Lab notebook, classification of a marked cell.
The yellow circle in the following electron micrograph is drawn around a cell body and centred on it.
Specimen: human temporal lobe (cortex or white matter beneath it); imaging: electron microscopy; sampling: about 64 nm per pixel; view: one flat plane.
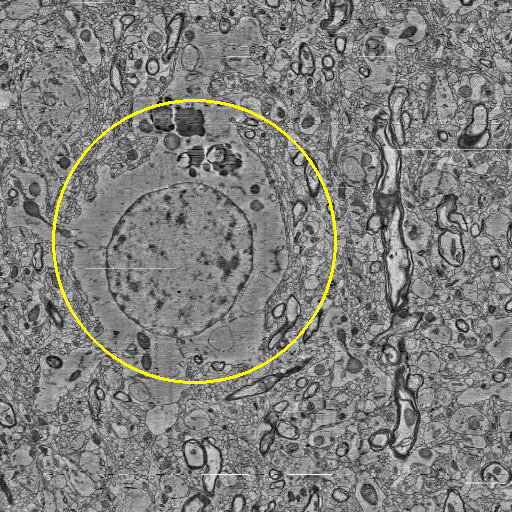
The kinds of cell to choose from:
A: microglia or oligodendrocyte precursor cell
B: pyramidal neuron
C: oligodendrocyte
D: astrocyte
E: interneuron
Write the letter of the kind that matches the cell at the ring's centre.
D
